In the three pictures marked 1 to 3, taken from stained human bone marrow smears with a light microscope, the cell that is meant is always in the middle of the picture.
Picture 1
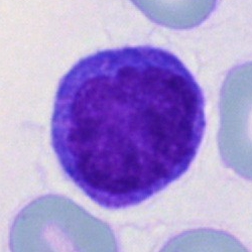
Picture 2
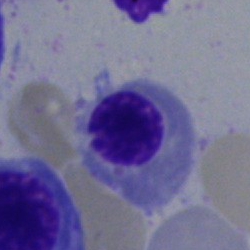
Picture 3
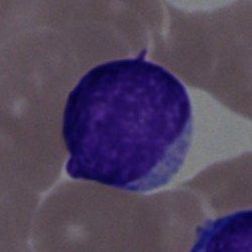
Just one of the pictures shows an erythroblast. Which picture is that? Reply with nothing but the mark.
2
